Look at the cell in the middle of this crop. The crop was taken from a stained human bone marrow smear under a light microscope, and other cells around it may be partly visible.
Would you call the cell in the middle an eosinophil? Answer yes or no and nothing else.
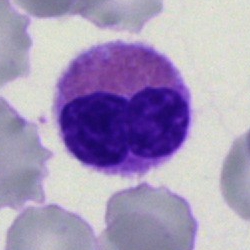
yes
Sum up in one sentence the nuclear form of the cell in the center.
One defining trait here is a nucleus of two or more segments.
